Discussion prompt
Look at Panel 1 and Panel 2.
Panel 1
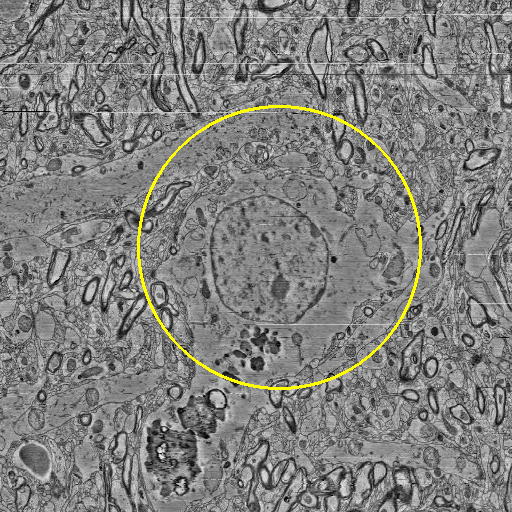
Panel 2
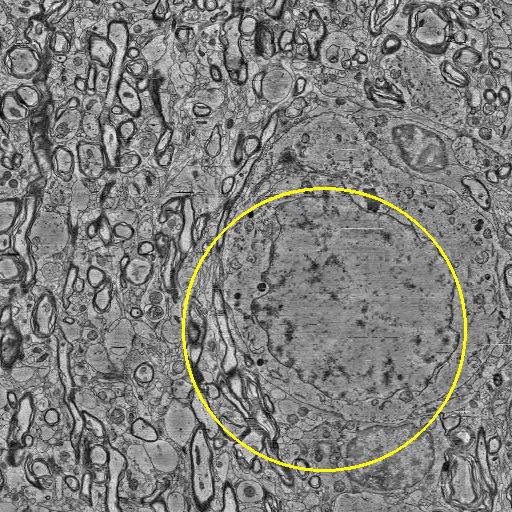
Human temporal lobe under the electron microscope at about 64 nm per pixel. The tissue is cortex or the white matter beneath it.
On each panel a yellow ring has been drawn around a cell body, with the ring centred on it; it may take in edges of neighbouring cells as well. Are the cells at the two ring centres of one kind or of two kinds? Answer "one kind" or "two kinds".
two kinds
